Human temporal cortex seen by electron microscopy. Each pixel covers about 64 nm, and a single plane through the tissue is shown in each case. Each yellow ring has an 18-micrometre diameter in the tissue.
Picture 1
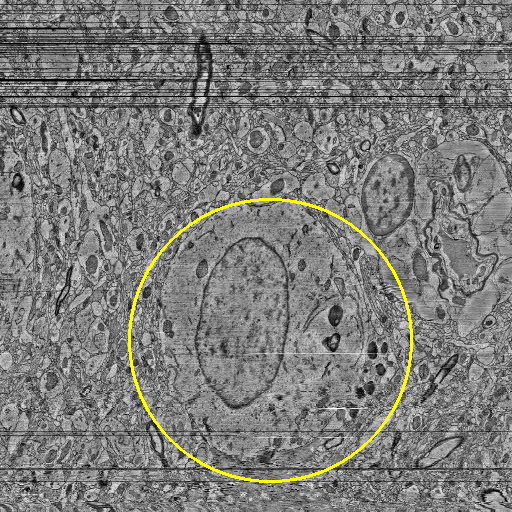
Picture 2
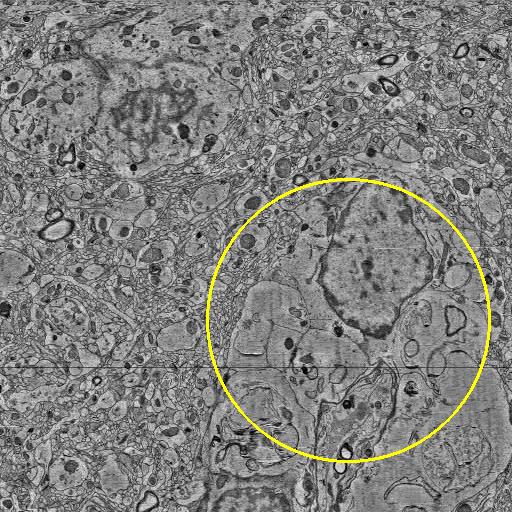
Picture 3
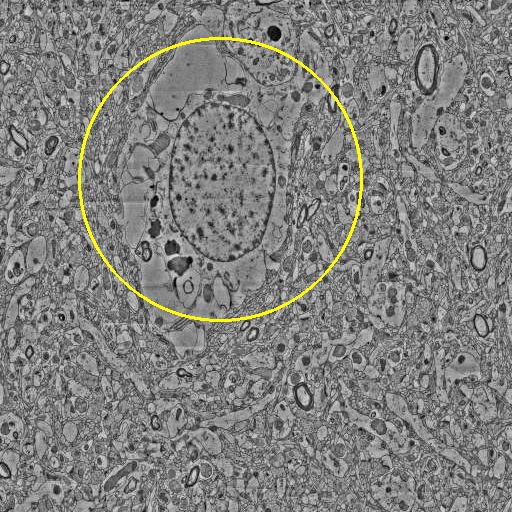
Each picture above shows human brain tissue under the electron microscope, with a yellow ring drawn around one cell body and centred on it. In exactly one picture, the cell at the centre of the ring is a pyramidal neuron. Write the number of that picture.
1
